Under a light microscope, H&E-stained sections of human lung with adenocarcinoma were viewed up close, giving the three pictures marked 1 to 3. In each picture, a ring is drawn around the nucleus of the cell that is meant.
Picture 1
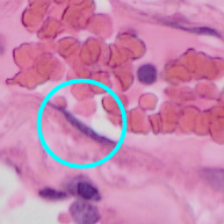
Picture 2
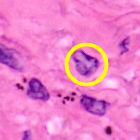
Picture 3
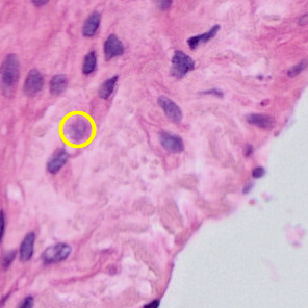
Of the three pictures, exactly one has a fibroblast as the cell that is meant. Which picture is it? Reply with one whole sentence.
The picture with the fibroblast is 2.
